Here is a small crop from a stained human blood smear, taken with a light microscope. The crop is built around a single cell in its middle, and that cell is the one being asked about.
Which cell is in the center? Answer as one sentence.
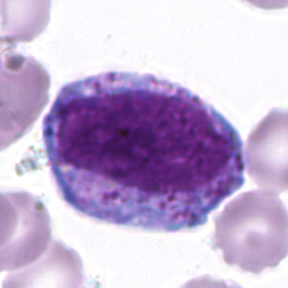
To answer, the cell in the center of the crop is a promyelocyte.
